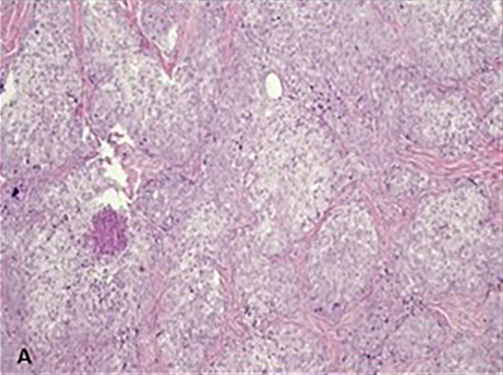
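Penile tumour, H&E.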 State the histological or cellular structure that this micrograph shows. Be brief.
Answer: nests and lobules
